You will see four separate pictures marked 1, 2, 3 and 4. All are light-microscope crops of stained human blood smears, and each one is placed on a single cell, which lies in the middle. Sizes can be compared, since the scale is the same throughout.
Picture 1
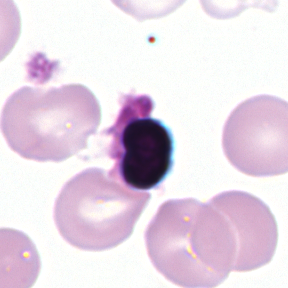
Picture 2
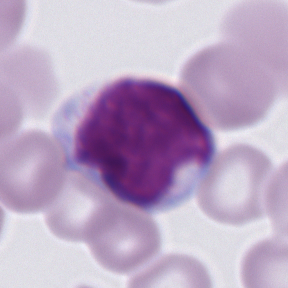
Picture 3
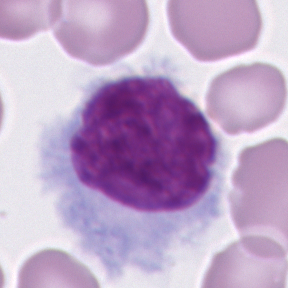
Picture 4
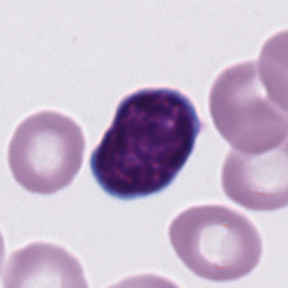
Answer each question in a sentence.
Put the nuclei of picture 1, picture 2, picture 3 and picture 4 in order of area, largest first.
Going down, they run 3, 2, 4, 1.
